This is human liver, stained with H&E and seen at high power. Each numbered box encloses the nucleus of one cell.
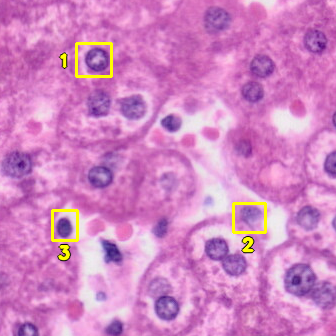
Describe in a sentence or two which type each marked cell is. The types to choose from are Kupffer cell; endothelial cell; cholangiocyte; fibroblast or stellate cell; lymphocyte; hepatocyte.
Cell 1 is a hepatocyte. Cell 2 is a Kupffer cell. Cell 3 is a lymphocyte.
